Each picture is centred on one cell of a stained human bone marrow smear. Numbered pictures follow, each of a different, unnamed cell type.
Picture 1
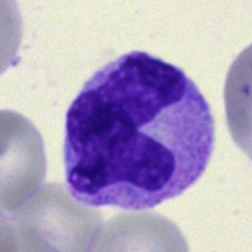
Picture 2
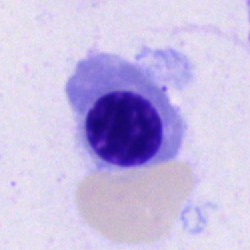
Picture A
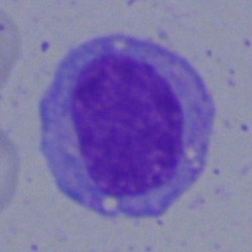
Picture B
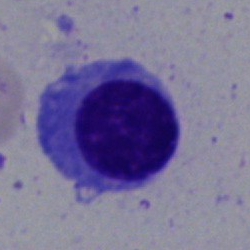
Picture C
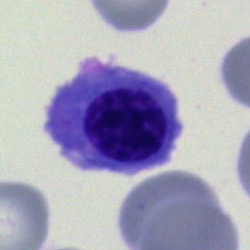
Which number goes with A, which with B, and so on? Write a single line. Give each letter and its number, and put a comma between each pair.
A 1, B 2, C 2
